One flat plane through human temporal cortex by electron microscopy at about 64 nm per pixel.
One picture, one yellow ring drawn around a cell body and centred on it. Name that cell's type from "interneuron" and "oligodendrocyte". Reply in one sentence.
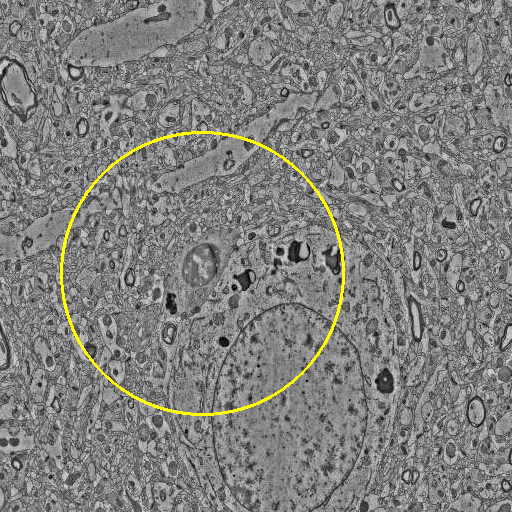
Centred in the ring is an oligodendrocyte.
